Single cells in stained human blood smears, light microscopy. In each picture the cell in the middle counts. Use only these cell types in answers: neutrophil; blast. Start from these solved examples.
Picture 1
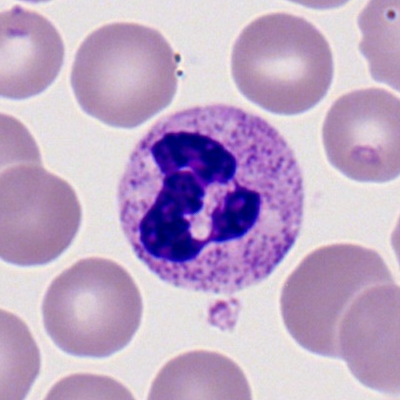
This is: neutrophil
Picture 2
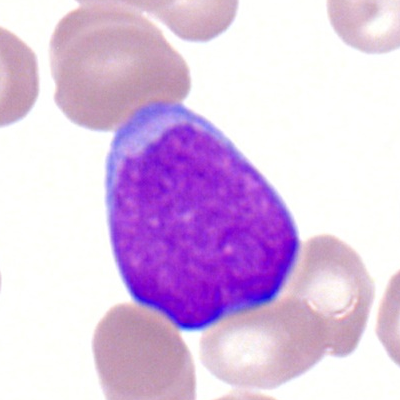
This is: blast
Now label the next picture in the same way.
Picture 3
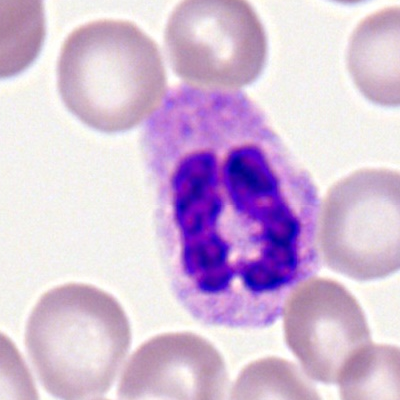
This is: neutrophil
